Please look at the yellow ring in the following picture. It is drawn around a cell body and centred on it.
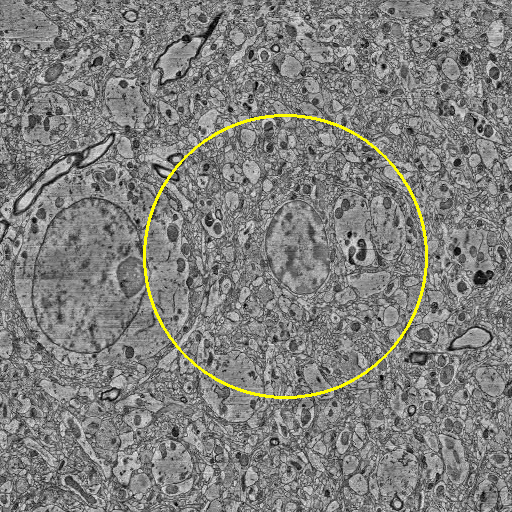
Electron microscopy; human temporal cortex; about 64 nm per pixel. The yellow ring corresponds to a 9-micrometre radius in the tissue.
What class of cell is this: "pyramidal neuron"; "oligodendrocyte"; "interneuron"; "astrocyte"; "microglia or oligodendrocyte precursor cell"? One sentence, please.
The ring surrounds the cell body of a microglial cell or oligodendrocyte precursor cell.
